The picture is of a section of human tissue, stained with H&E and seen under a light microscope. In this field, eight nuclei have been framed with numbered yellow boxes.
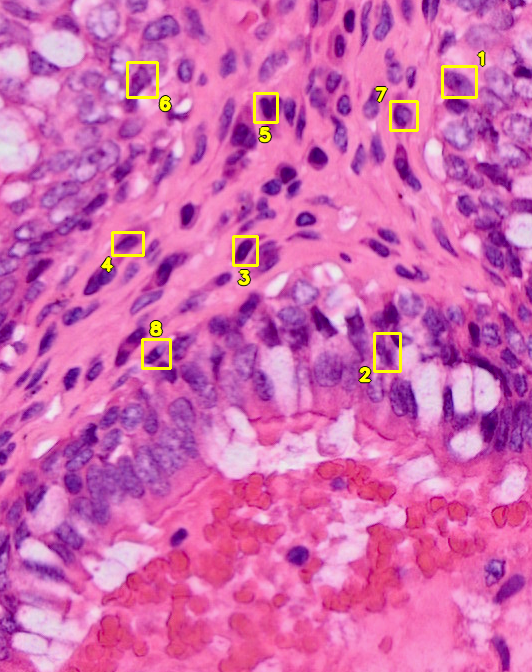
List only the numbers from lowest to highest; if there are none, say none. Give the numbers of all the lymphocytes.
8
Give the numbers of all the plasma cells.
3, 4, 5, 7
